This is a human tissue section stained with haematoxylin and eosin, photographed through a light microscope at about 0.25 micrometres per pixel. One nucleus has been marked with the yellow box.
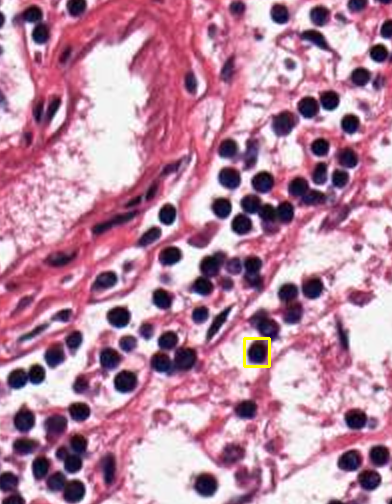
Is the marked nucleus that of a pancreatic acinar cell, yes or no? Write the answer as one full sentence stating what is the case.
No, the marked nucleus is not from a pancreatic acinar cell; a supporting cell is its source.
